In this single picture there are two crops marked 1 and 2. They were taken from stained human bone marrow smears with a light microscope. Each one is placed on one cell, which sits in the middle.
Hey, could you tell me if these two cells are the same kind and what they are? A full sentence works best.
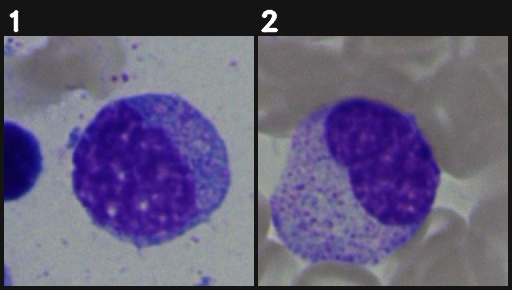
No, the correct reading is a myelocyte in crop 1 and a metamyelocyte in crop 2.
